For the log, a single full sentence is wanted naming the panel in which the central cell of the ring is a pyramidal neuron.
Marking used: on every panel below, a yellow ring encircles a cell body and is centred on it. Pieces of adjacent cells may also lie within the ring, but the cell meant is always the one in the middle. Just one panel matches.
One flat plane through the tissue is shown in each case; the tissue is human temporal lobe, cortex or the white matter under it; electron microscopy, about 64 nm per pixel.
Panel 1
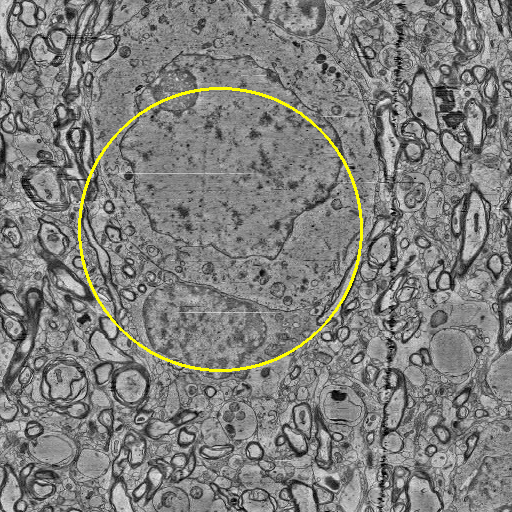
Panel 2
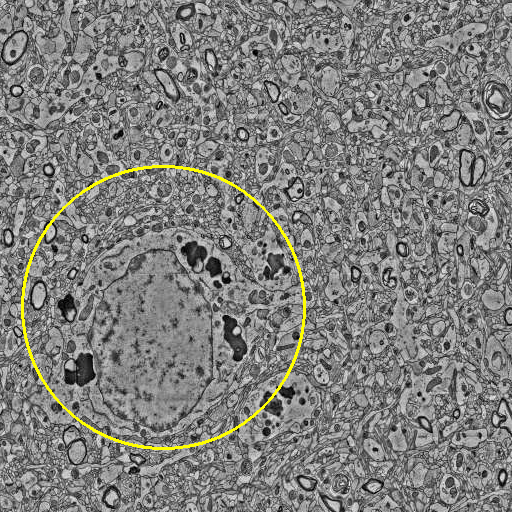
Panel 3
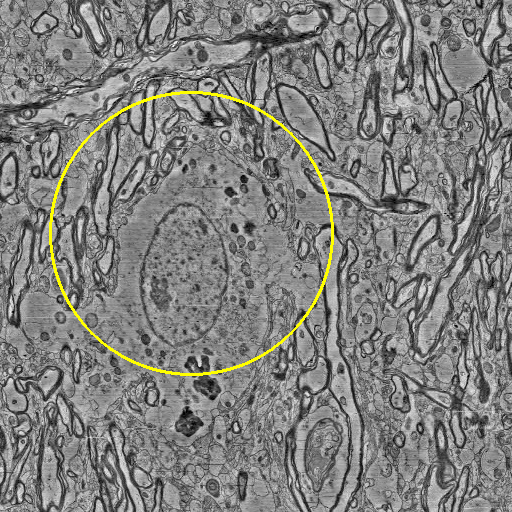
The cell in the middle of the ring in panel 1 is the one asked for.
